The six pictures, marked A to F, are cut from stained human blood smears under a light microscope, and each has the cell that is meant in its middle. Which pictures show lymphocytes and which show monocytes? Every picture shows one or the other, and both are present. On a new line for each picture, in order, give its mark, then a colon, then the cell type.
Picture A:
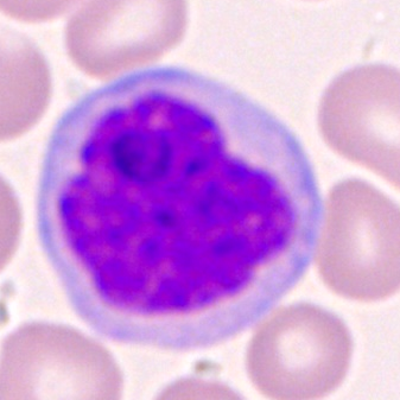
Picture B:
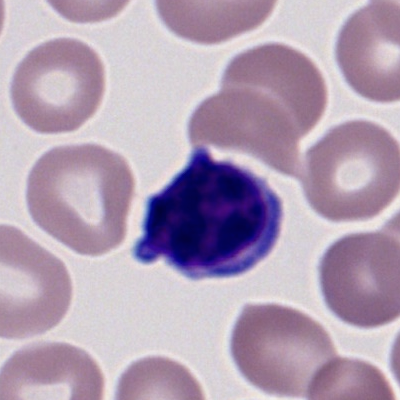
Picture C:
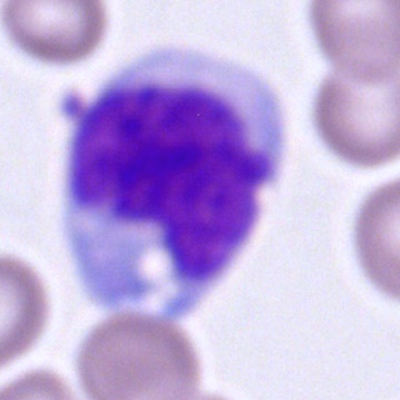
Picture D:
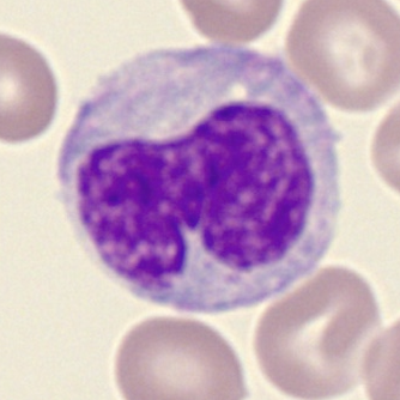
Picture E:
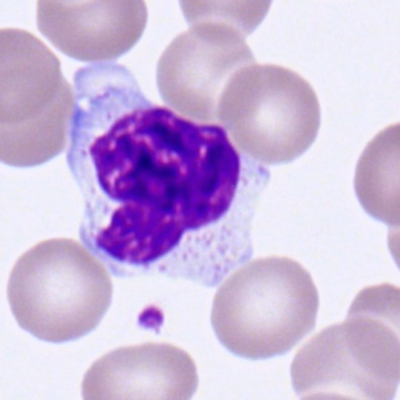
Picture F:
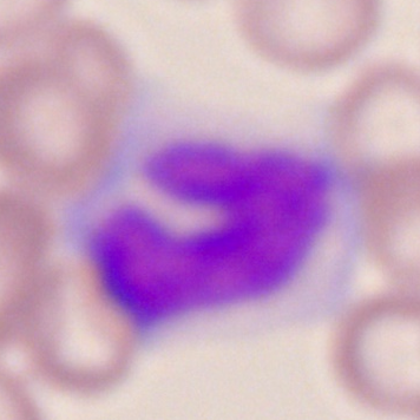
A: monocyte
B: lymphocyte
C: monocyte
D: monocyte
E: lymphocyte
F: monocyte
